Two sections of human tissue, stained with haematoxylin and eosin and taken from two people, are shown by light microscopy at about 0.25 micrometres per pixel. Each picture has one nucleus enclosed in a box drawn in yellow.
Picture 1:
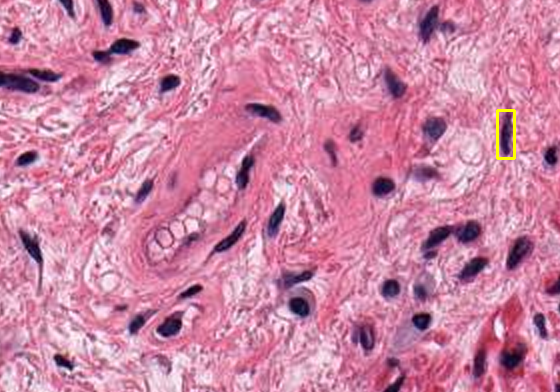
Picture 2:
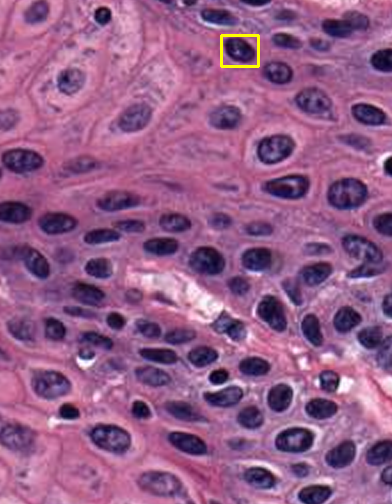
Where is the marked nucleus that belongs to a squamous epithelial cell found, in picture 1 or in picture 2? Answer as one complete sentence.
The marked nucleus in picture 2 is the nucleus of a squamous epithelial cell.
